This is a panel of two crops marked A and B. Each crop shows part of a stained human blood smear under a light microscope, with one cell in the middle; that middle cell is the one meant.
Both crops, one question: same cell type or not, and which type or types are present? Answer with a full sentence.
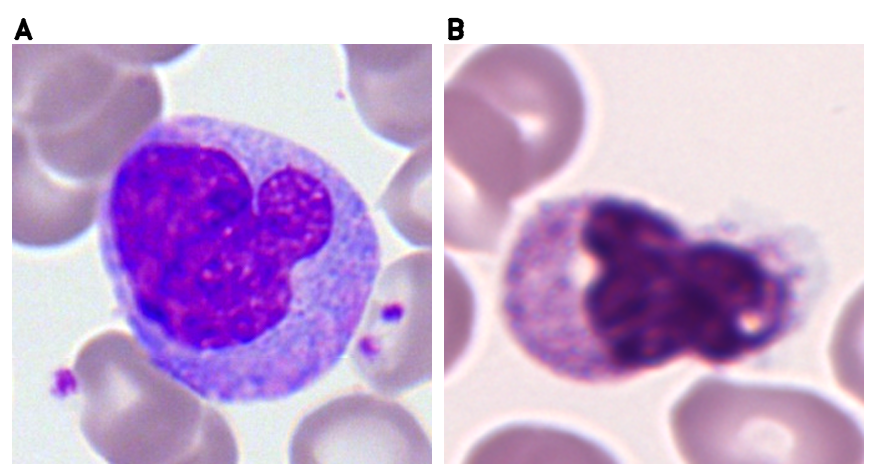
No, crop A is to be identified as a monocyte and crop B as a segmented neutrophil.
